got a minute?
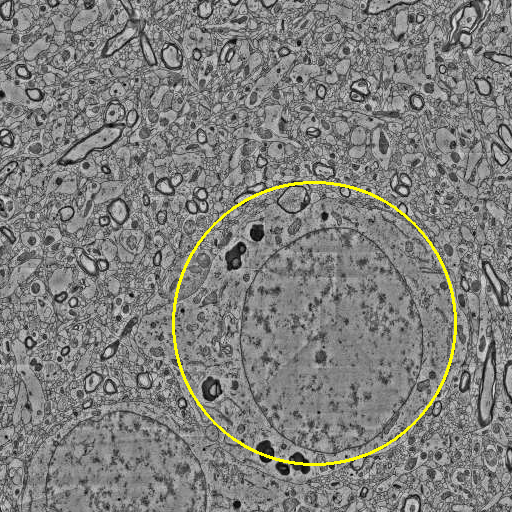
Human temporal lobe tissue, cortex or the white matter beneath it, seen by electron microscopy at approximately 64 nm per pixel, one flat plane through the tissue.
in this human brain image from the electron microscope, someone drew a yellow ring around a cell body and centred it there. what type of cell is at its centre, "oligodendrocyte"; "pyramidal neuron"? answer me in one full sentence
It's a pyramidal neuron at the middle of that yellow ring in the shot.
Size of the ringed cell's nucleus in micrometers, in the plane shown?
In this plane the nucleus measures roughly 14 by 12 micrometres.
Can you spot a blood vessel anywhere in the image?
No, none appears.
